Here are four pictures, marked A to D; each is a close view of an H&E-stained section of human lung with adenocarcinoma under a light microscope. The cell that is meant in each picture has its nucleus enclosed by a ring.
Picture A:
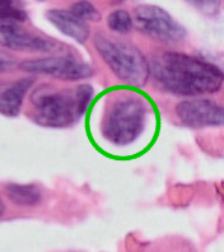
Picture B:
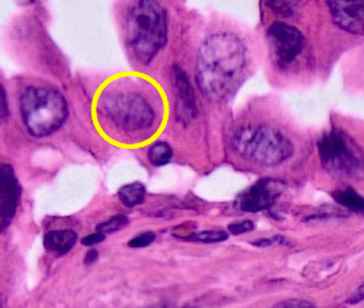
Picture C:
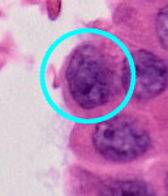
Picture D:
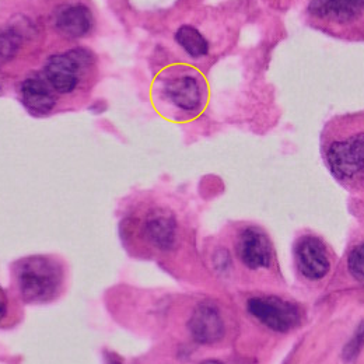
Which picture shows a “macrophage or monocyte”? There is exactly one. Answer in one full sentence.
The picture with the “macrophage or monocyte” is D.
